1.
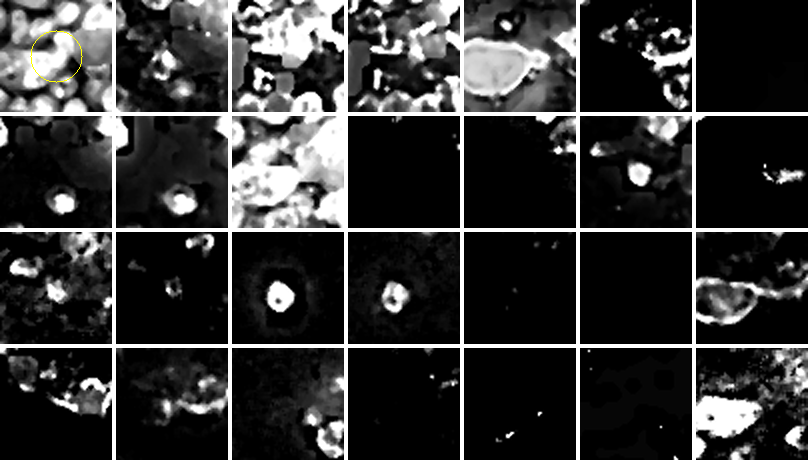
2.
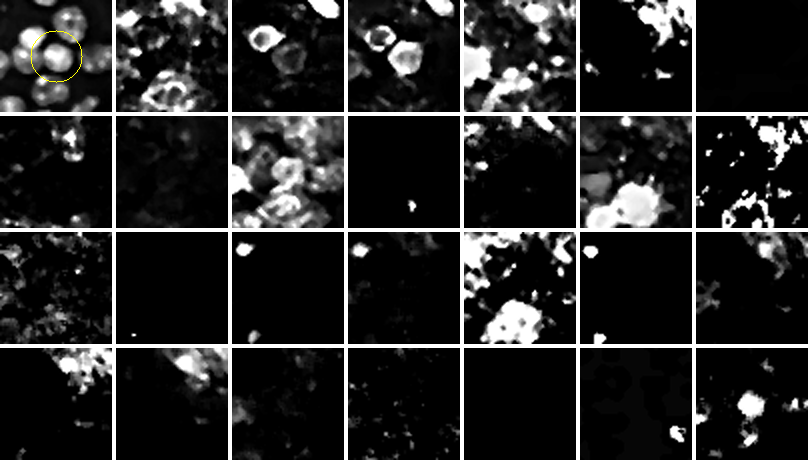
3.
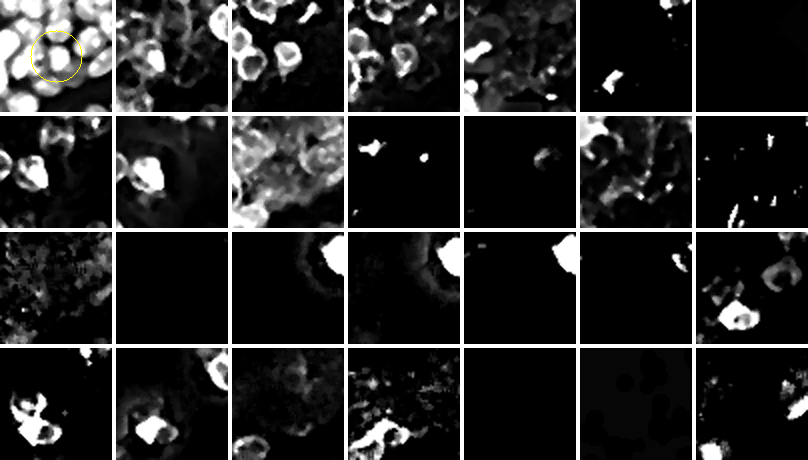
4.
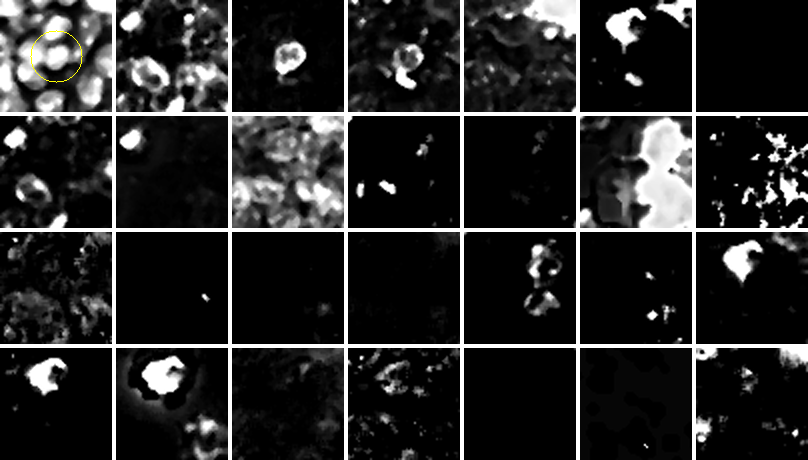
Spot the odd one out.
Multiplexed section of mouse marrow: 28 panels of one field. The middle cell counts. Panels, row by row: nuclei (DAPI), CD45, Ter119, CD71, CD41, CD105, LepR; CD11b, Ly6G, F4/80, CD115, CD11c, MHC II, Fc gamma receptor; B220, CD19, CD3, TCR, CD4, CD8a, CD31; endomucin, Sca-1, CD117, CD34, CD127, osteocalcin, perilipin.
Picture 1 (a capillary endothelial cell among erythroblasts).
